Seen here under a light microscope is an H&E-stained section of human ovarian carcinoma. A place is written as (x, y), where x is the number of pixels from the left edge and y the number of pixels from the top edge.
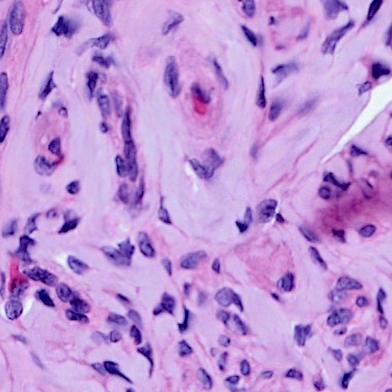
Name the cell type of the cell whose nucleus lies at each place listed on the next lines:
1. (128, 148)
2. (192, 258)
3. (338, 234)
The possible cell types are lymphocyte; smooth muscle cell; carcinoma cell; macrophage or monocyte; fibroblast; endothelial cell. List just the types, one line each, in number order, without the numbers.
endothelial cell
smooth muscle cell
smooth muscle cell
